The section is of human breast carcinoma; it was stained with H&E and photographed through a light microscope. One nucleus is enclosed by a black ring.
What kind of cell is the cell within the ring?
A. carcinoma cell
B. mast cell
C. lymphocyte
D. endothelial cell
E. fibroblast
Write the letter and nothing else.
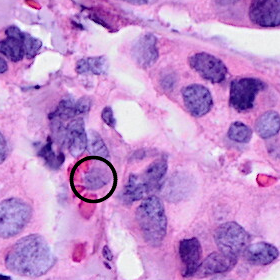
D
